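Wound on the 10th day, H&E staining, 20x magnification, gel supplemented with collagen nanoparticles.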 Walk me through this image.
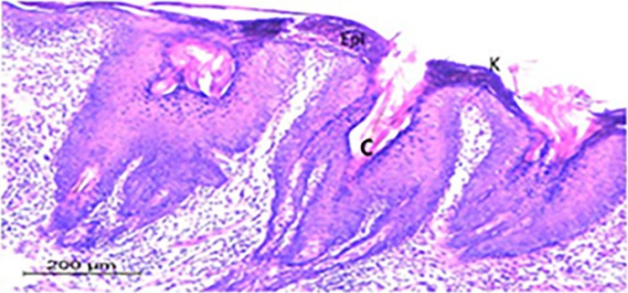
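Skin section in which a purple stratified epidermis forms broad, deep downgrowths into the underlying dermis. The basal parts of the epidermal downgrowths stain darker purple than their paler centres. A thin dark keratin layer covers the surface. Pink, laminated keratinous material fills the clefts between the epidermal projections. The dermis beneath is a pale pink connective tissue crowded with small dark nuclei.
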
